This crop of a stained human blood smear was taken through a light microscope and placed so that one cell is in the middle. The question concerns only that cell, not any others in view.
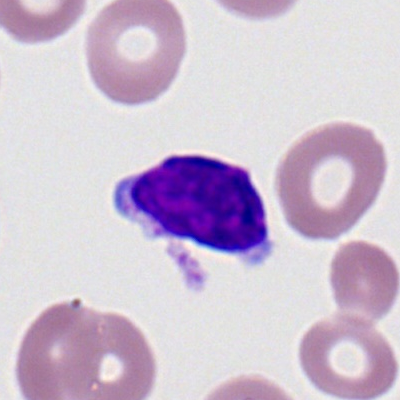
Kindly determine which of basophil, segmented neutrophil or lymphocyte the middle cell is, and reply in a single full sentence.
The cell shown in the center of this light-microscope crop is a lymphocyte.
